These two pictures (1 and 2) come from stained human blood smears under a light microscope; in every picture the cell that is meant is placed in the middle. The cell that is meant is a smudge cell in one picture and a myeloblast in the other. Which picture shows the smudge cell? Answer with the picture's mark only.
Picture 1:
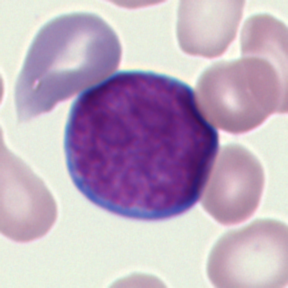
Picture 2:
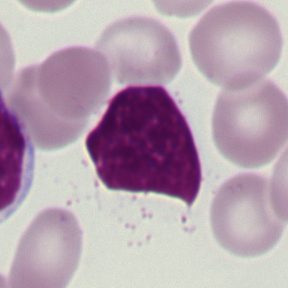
2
